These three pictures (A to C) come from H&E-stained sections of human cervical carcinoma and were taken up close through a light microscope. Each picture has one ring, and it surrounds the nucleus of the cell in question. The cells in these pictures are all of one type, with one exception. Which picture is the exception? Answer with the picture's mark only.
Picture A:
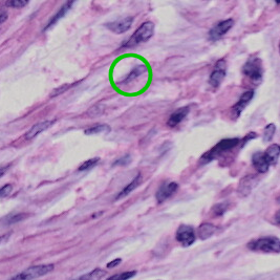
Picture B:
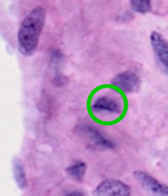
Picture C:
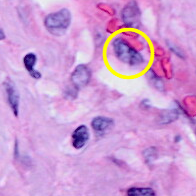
C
